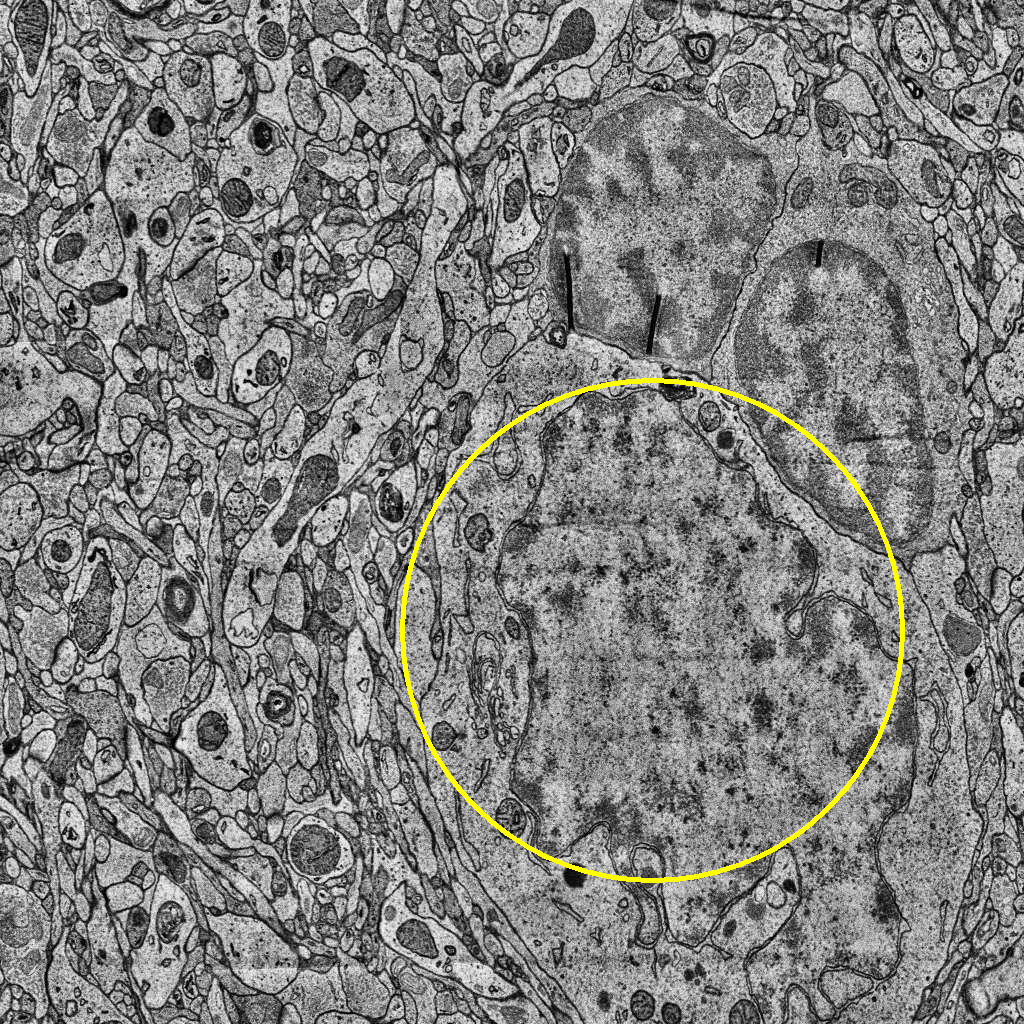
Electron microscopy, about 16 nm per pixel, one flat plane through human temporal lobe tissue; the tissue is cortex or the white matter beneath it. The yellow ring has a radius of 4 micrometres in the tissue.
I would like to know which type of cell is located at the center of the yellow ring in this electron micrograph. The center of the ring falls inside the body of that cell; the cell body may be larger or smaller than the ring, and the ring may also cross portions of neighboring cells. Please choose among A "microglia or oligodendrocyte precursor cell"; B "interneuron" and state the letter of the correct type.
B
